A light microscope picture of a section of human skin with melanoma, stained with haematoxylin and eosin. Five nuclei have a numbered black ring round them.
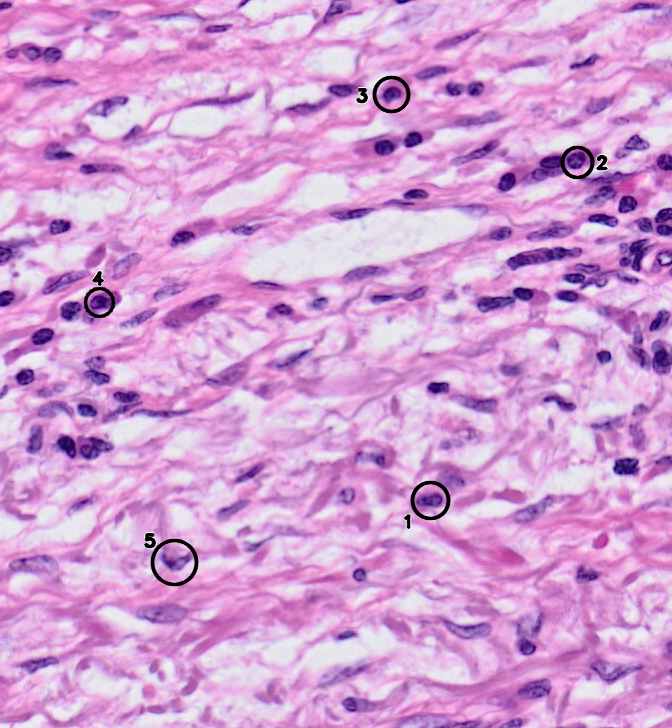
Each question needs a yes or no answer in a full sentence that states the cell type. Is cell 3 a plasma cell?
Yes, the cell shown as number 3 is a plasma cell.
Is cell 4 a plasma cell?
Yes, the cell that has number 4 is a plasma cell.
